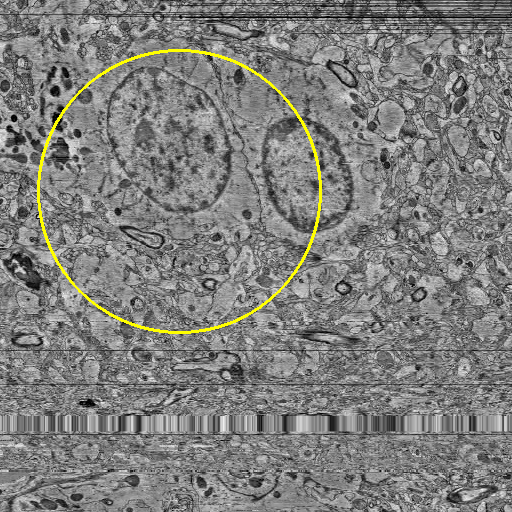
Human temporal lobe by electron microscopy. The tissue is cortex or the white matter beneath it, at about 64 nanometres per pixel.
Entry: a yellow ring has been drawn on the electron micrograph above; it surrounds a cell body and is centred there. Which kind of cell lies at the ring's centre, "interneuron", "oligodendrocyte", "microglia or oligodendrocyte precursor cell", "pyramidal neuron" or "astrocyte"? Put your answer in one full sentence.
The cell sitting at the ring's centre is an astrocyte in the micrograph above.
